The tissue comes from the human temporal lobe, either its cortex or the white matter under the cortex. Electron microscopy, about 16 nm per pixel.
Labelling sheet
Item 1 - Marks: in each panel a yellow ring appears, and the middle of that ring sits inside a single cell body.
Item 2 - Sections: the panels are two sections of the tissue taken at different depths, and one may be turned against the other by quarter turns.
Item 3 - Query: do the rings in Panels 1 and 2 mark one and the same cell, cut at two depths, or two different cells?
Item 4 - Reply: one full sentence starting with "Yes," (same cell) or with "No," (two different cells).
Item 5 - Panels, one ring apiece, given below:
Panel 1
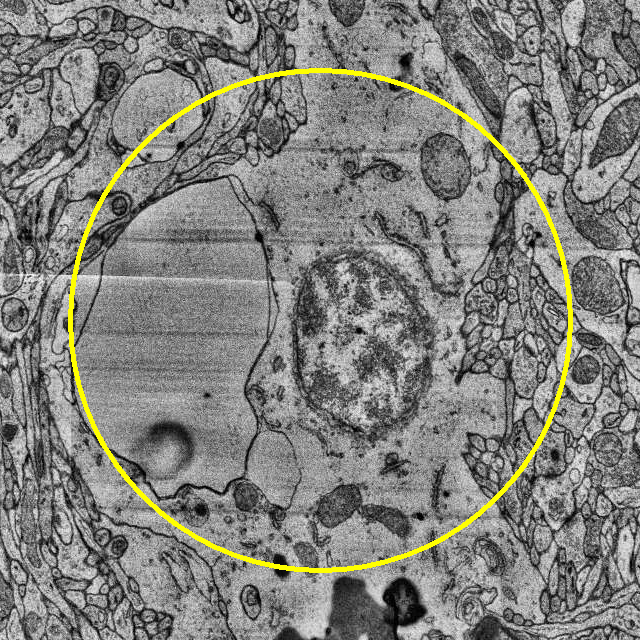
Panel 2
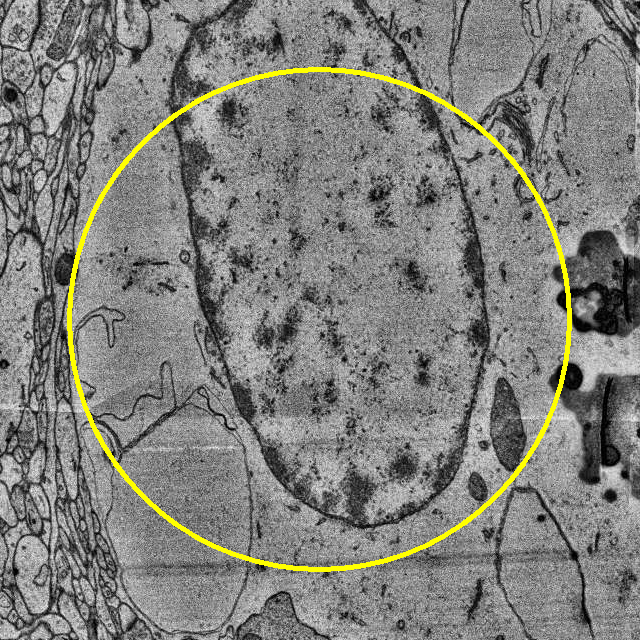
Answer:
No, the yellow rings mark two cells that are not the same.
